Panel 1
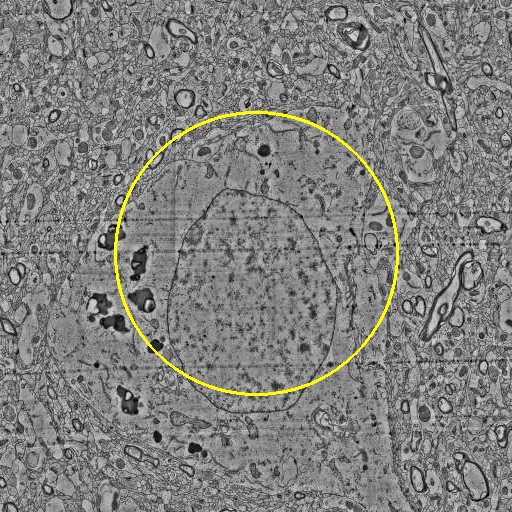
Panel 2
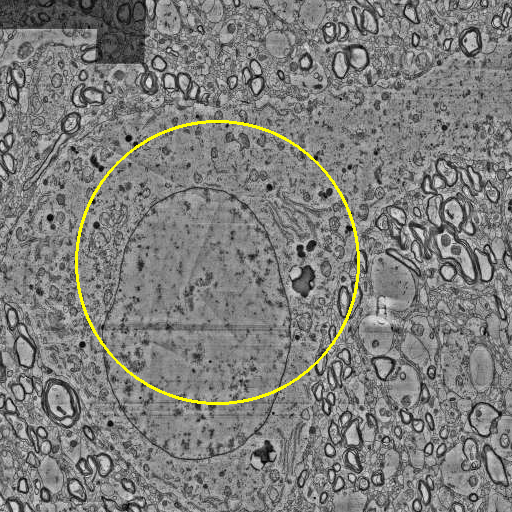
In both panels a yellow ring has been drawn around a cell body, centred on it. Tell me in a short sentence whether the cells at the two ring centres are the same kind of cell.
Yes, they are the same kind of cell.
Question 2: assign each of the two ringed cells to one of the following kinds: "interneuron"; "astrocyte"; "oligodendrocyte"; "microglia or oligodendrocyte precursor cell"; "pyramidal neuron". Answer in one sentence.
Both rings mark a pyramidal neuron, one in each picture.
